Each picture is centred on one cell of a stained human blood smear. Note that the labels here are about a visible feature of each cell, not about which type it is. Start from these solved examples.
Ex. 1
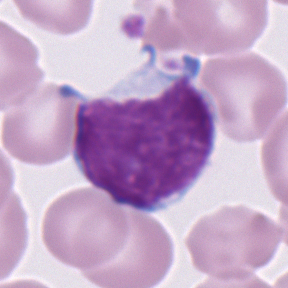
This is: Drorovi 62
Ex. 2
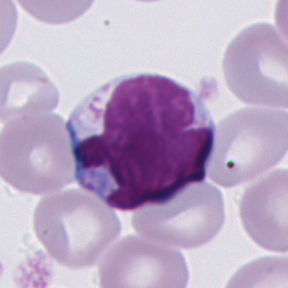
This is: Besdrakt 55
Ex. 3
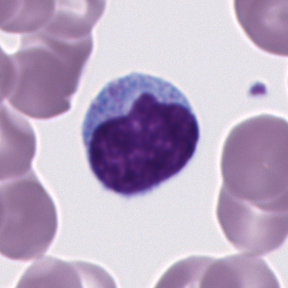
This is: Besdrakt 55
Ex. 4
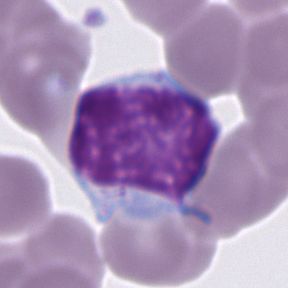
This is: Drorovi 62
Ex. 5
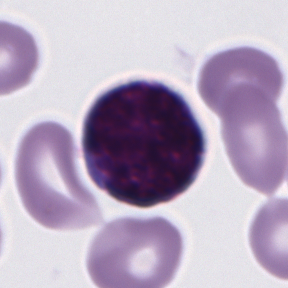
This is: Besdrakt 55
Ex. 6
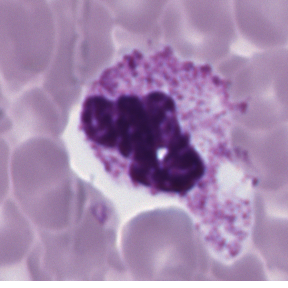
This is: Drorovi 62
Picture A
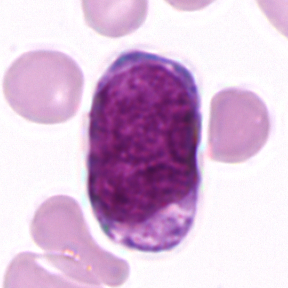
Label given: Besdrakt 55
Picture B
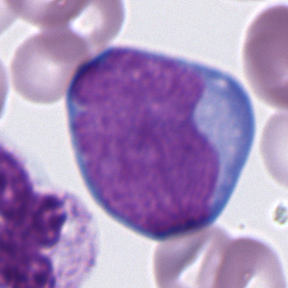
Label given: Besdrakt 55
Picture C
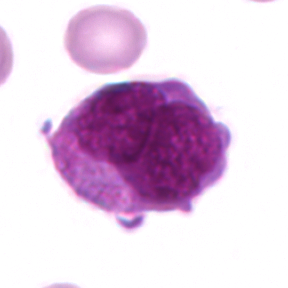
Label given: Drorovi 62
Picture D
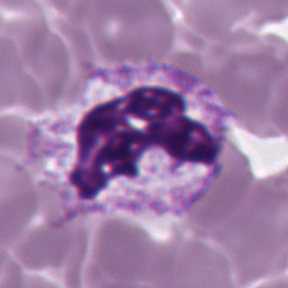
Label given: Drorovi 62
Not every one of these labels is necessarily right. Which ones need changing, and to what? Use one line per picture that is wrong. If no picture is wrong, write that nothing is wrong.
None of the labels needs changing.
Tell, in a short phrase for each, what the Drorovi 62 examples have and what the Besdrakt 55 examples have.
Drorovi 62, ragged outline or projections; Besdrakt 55, smooth outline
